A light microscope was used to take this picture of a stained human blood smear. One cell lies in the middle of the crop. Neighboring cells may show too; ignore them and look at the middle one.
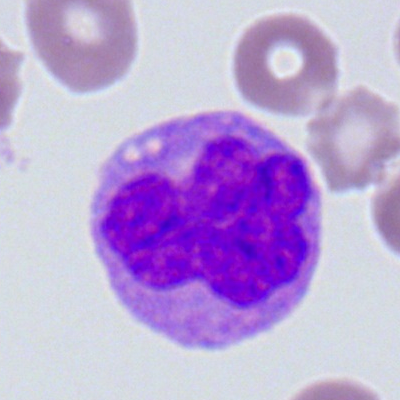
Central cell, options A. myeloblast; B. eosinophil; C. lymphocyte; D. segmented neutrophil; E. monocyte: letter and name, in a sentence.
Option E is the correct option, with the middle cell being a monocyte.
